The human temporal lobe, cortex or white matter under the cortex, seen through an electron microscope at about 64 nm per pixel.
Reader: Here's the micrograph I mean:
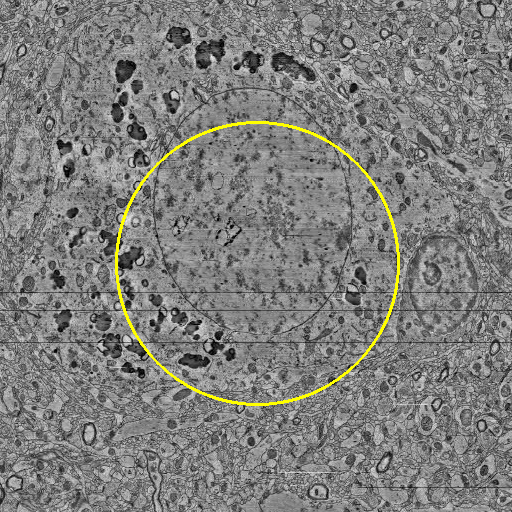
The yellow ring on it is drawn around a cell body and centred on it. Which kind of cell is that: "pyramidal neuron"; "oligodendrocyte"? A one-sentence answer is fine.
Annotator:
The ring is centred on a pyramidal neuron.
